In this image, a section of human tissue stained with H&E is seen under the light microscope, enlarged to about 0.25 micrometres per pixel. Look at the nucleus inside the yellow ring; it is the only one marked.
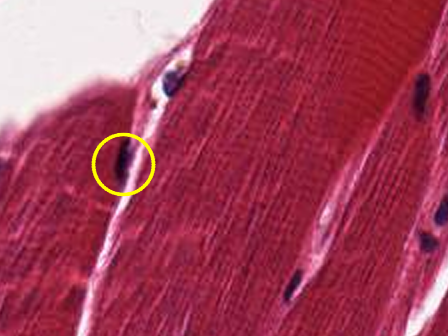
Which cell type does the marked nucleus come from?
skeletal muscle fibre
